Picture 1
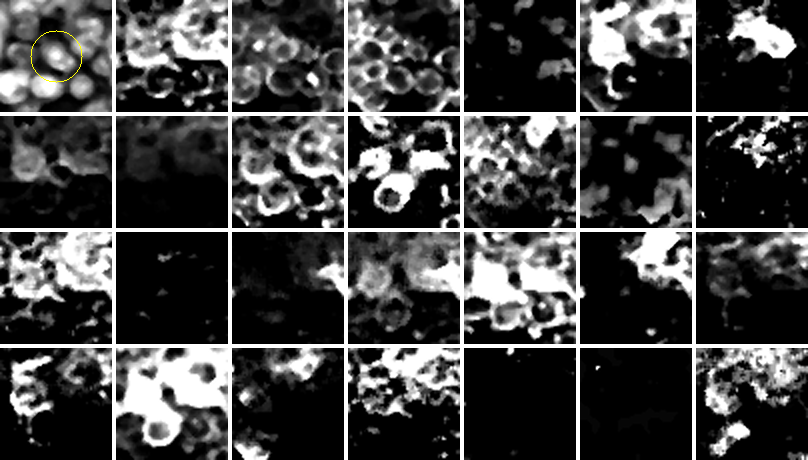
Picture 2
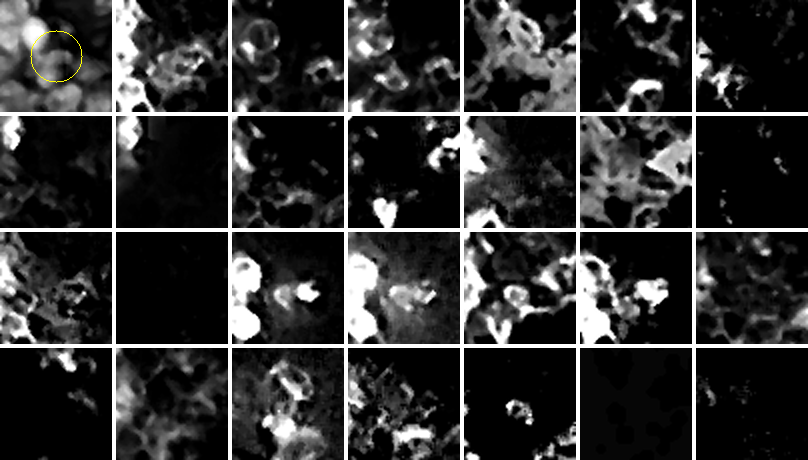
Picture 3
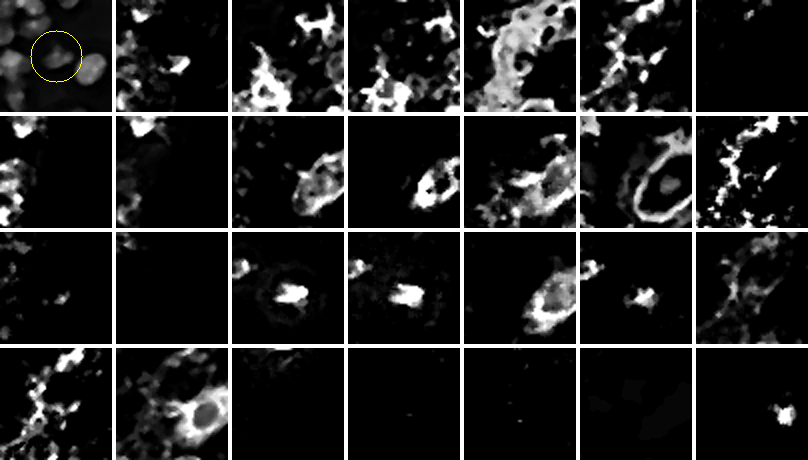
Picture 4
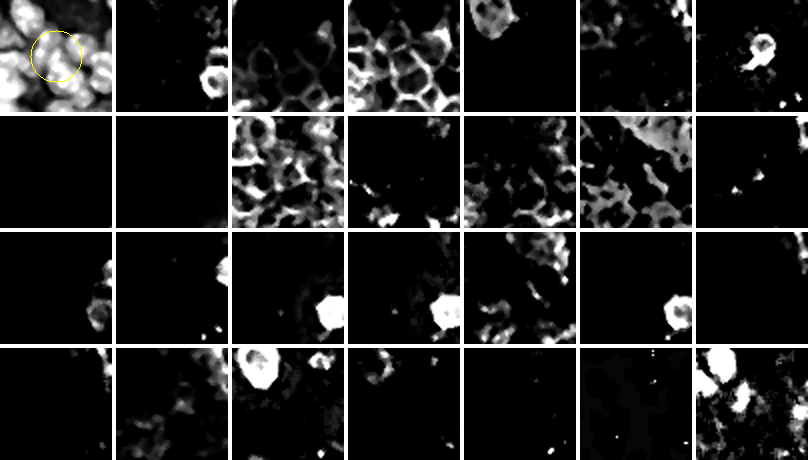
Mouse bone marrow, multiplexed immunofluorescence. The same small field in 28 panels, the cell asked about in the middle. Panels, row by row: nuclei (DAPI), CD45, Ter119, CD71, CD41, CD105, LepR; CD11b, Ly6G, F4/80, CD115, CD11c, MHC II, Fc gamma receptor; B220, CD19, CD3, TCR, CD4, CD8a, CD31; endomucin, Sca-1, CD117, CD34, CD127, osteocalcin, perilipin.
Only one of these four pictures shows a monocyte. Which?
Picture 1.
